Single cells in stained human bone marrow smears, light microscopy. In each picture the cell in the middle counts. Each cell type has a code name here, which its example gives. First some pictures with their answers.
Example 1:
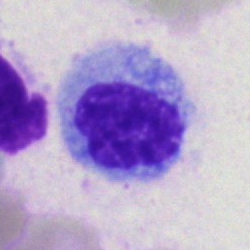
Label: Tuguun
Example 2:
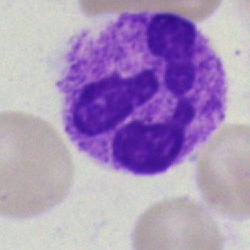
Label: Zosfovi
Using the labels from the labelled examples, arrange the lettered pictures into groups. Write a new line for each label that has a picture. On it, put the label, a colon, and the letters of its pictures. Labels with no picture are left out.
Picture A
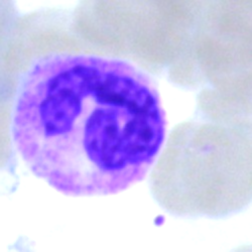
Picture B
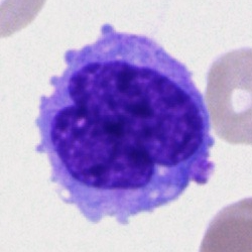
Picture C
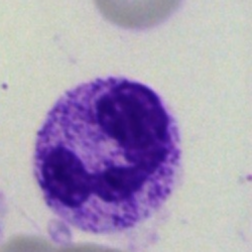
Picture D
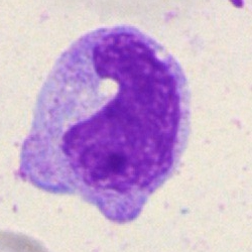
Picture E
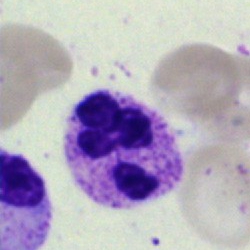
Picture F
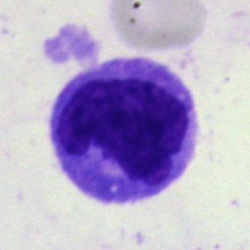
Tuguun: B, D, F
Zosfovi: A, C, E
